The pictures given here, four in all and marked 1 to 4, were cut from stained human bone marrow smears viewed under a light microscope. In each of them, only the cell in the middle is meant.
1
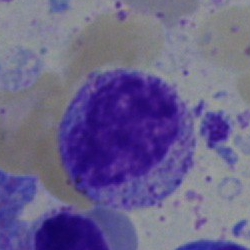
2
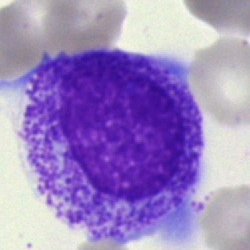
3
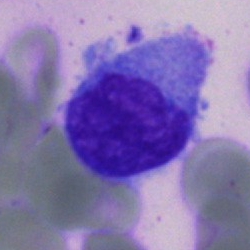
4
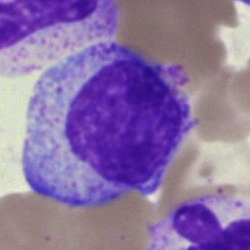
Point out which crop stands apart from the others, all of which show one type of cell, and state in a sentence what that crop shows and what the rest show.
Of the crops, all show myelocytes save crop 3, which shows a monocyte.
